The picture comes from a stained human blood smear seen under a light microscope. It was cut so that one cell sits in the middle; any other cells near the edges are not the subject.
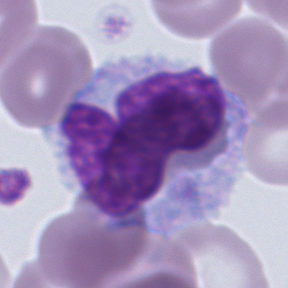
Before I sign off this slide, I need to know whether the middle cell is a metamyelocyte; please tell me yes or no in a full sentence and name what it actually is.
No, the central cell qualifies as a monocyte rather than as a metamyelocyte.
